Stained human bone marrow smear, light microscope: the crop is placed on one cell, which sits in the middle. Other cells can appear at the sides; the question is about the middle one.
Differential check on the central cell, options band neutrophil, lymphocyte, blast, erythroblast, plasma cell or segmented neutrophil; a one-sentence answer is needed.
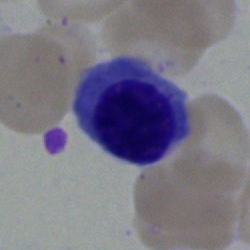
The cell occupying the middle of the crop is an erythroblast.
